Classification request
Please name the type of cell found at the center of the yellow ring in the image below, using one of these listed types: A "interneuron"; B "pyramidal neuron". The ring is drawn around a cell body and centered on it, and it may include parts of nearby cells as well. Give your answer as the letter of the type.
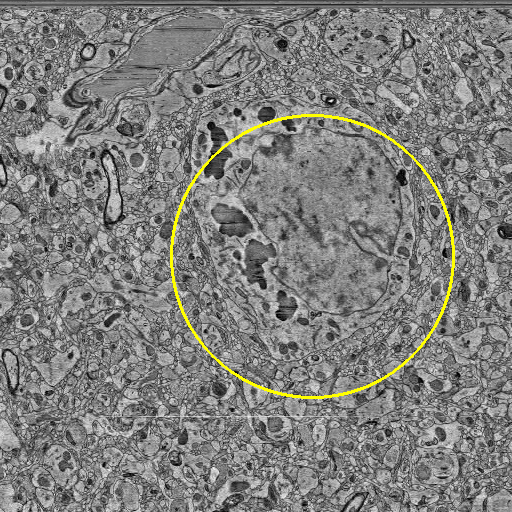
A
